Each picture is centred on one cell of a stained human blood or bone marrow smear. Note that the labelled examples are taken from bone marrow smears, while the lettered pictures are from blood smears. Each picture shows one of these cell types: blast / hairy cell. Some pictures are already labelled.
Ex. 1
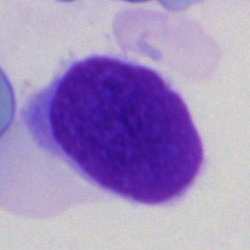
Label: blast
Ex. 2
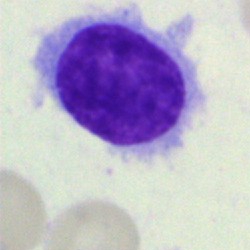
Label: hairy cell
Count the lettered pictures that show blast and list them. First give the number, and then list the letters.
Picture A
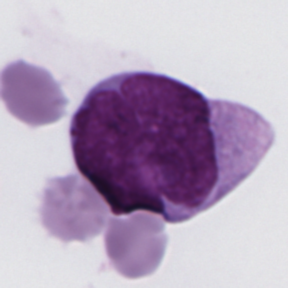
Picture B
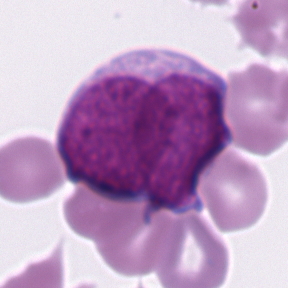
2, namely A, B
